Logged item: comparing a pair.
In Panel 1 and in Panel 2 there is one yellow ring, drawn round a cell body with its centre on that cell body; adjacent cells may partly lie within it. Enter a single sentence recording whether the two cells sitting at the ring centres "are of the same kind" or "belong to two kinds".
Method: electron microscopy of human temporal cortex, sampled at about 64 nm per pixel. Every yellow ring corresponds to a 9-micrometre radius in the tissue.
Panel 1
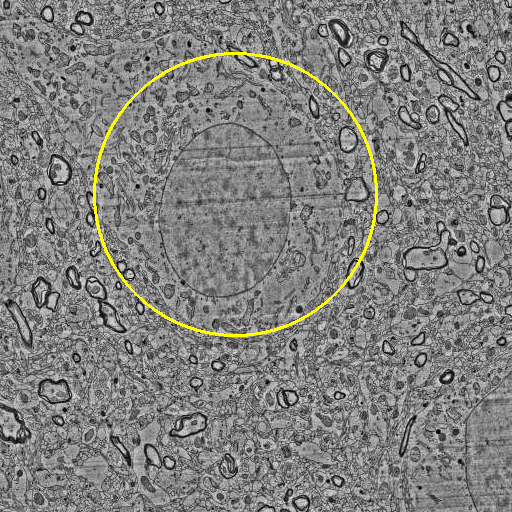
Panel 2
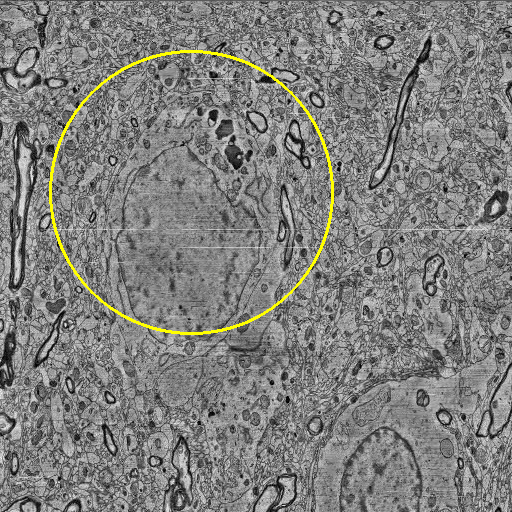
Logged: the cells centred in the rings of Panel 1 and Panel 2 are of the same kind.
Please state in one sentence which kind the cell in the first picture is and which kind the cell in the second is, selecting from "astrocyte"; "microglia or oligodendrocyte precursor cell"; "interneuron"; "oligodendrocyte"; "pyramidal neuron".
In each of the two pictures, the ringed cell is an interneuron.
